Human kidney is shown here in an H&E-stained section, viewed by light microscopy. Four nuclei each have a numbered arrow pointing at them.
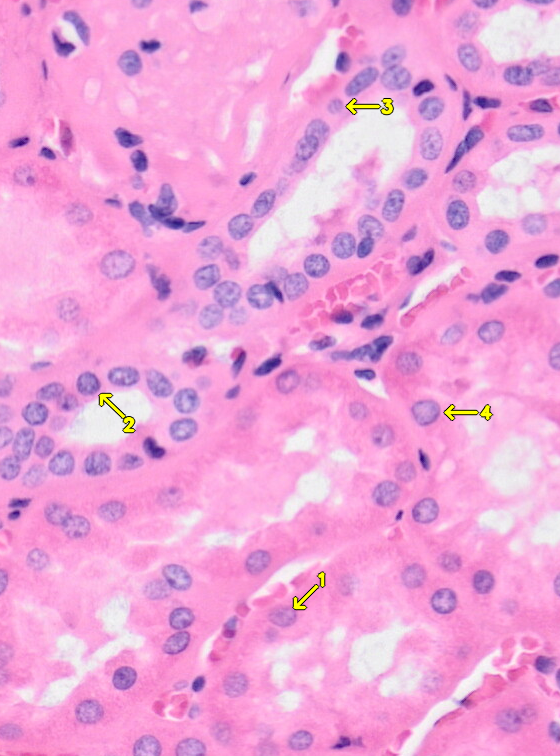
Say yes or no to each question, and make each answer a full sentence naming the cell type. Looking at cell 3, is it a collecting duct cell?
Yes, the nucleus numbered 3 belongs to a collecting duct cell.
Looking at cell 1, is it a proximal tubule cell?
Yes, the one numbered 1 is a proximal tubule cell.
